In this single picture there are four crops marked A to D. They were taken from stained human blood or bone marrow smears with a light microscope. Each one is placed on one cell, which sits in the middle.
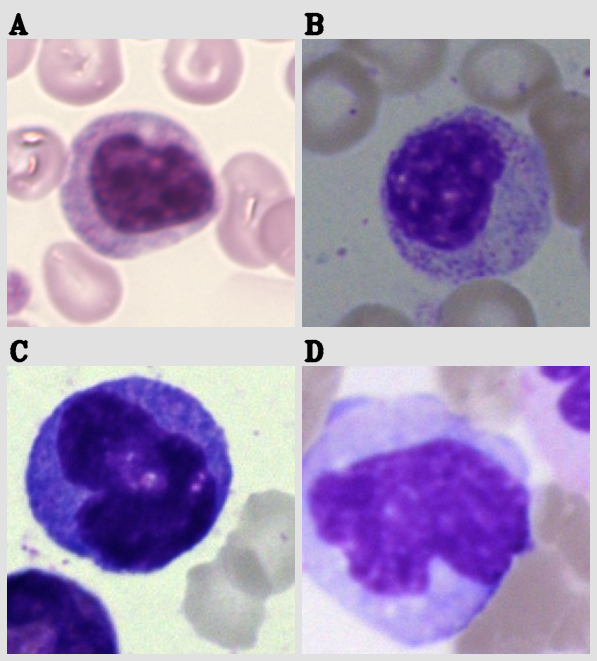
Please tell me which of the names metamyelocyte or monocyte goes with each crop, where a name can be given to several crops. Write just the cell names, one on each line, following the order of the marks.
metamyelocyte
metamyelocyte
monocyte
monocyte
